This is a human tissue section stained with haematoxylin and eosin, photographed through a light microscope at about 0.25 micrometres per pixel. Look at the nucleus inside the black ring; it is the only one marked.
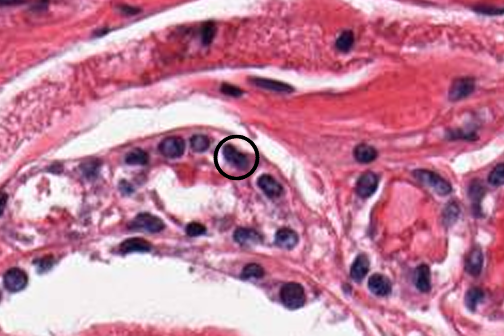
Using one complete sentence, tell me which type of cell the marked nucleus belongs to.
Marked in this picture is the nucleus of a thyroid follicular cell.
